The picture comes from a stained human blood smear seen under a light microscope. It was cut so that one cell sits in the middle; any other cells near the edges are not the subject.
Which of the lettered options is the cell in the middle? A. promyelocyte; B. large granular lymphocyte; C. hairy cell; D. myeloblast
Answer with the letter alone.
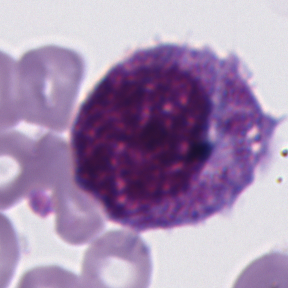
A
